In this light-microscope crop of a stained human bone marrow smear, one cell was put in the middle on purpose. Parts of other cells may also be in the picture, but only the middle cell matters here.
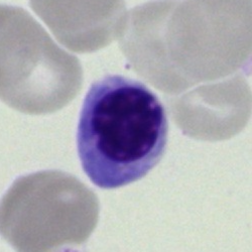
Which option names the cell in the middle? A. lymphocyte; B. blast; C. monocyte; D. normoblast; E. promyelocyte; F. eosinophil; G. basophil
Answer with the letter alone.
D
